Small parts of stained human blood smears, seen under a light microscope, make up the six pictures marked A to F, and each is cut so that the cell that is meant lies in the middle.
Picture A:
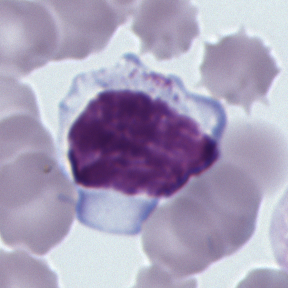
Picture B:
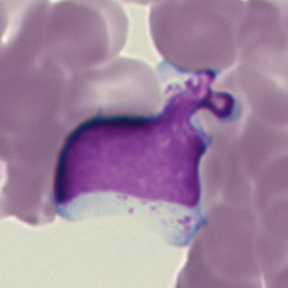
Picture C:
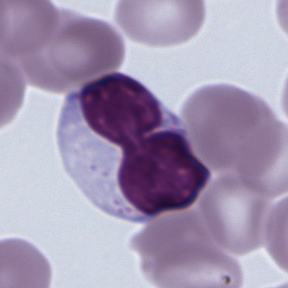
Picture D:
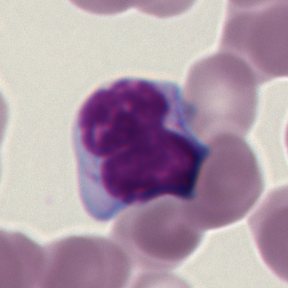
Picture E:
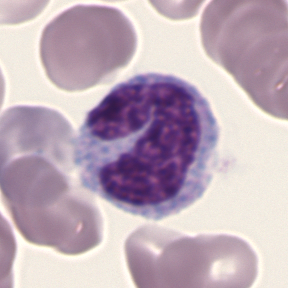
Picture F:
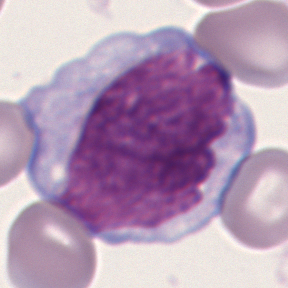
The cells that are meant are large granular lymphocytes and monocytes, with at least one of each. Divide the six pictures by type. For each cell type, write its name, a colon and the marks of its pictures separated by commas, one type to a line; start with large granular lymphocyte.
large granular lymphocyte: A, B, C, D
monocyte: E, F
